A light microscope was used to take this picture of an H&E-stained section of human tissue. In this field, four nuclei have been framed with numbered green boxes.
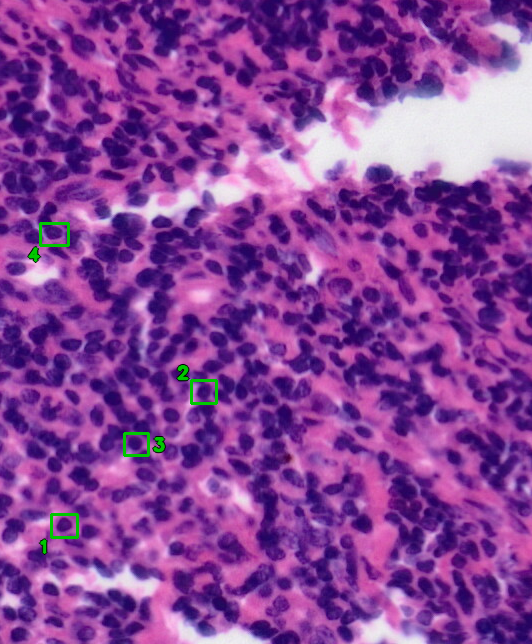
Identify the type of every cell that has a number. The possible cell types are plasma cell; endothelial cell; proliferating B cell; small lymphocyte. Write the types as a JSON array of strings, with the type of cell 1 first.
["plasma cell", "small lymphocyte", "small lymphocyte", "small lymphocyte"]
